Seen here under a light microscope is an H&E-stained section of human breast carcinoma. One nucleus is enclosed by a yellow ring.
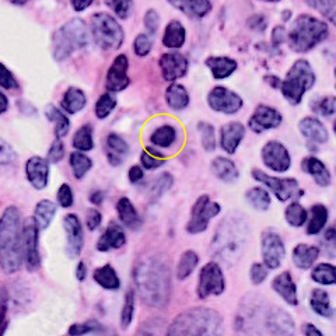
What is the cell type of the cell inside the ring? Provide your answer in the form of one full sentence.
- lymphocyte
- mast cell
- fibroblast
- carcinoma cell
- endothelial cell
Placed in its cell category, the cell inside the ring is a lymphocyte.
